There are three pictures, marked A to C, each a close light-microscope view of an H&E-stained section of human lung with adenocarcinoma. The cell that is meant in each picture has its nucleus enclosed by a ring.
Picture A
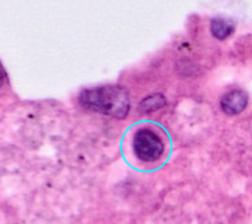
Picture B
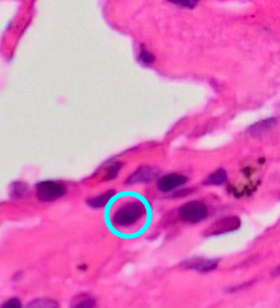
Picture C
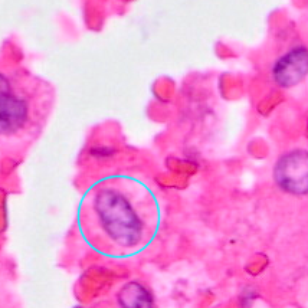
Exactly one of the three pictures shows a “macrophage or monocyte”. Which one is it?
C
